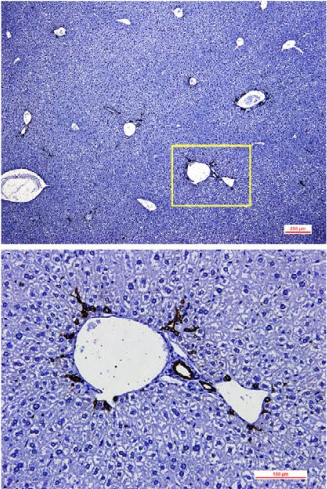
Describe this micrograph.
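Liver tissue is shown with plates of hepatocytes with blue nuclei around several vessel openings. In the enlargement, a central vessel is surrounded by small, dark brown stained cells. These cells form small duct-like profiles and thin strands that reach out from the vessel wall into the nearby hepatocyte plates. A small duct with a brown lining lies beside the vessel. The brown cells are much smaller and narrower than the hepatocytes, which stay lightly stained with round blue nuclei. Away from the vessel, the liver parenchyma shows no brown staining.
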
